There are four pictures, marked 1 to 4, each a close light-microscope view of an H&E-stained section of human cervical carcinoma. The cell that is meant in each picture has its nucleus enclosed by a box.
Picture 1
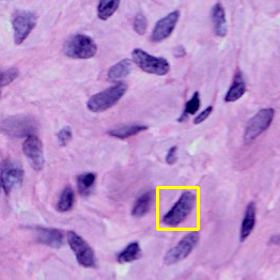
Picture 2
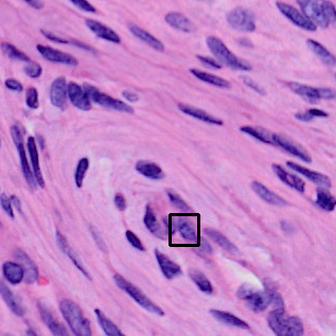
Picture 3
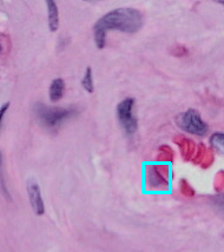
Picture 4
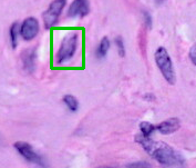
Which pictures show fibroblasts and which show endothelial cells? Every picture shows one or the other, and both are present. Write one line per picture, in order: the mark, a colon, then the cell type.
1: fibroblast
2: endothelial cell
3: endothelial cell
4: endothelial cell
